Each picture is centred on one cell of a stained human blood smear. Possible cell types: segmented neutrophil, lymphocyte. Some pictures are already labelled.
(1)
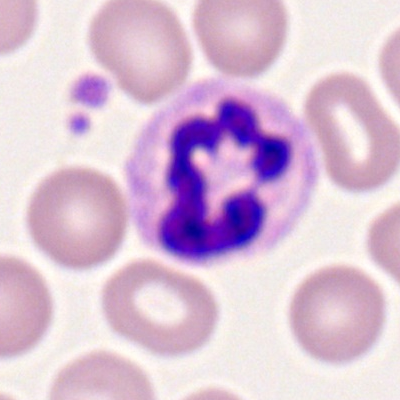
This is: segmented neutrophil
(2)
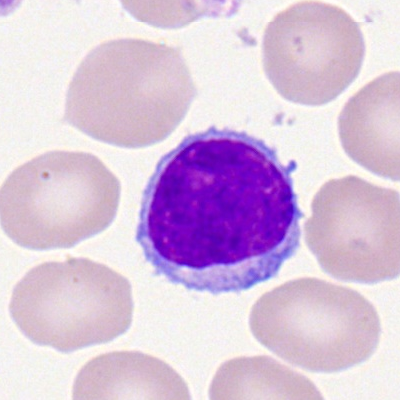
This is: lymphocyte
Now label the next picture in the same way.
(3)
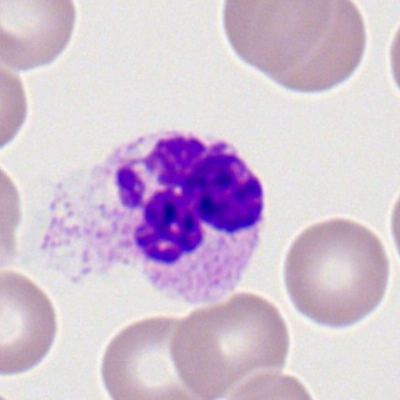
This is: segmented neutrophil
